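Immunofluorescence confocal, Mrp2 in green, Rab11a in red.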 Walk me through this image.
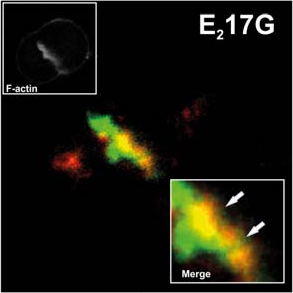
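A short, thick elongated band of green runs obliquely across the middle, where the two cells meet. Scattered red puncta lie in the cytoplasm on either side away from the band. The small inset shows two rounded cells side by side with a bright line along their shared border.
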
